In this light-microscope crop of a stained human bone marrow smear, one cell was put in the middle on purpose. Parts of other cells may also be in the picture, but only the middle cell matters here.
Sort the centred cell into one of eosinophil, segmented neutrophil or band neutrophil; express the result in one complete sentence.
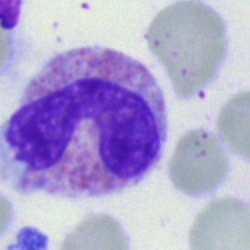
The cell at the middle of the frame should be recorded as an eosinophil.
